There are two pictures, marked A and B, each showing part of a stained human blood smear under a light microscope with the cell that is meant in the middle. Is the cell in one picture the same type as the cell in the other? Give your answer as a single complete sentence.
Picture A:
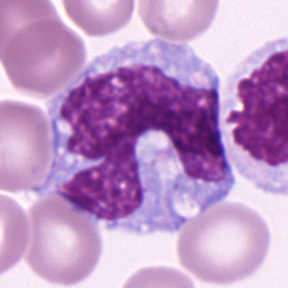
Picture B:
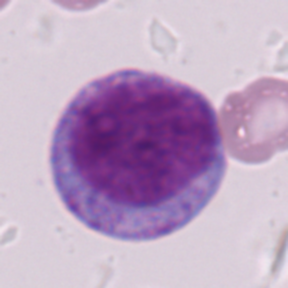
No; the cell in picture A is a monocyte, while the one in picture B is a promyelocyte.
